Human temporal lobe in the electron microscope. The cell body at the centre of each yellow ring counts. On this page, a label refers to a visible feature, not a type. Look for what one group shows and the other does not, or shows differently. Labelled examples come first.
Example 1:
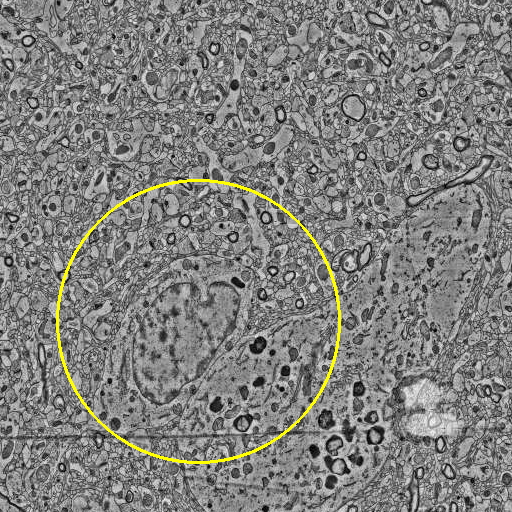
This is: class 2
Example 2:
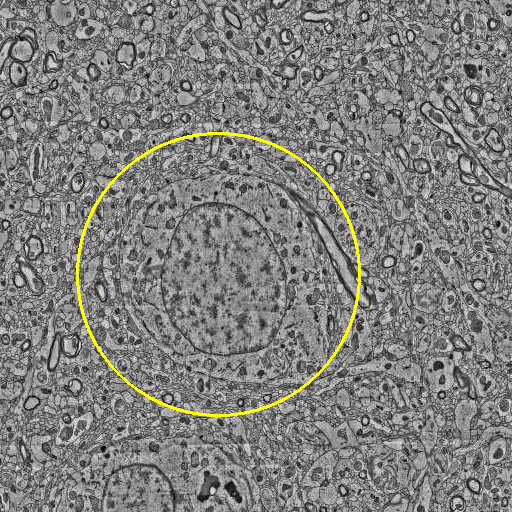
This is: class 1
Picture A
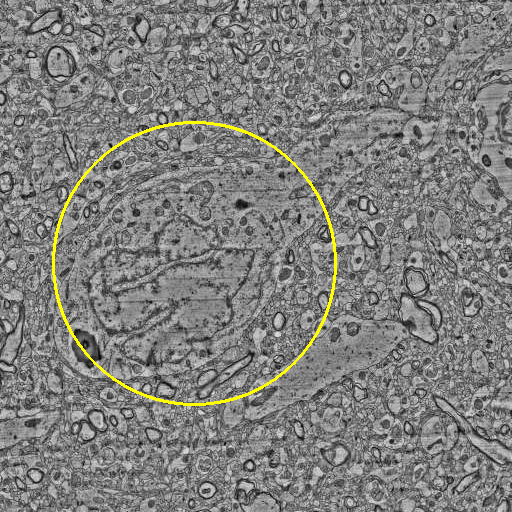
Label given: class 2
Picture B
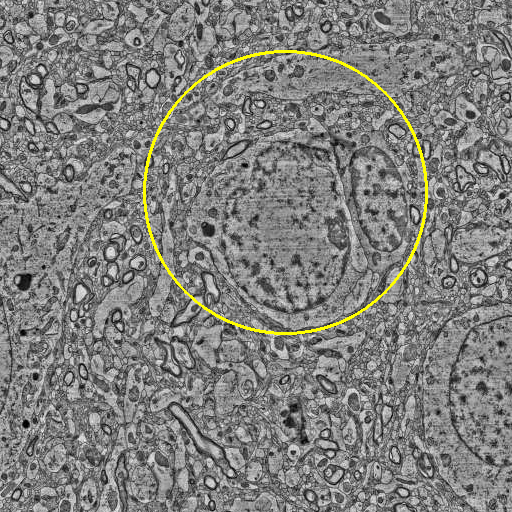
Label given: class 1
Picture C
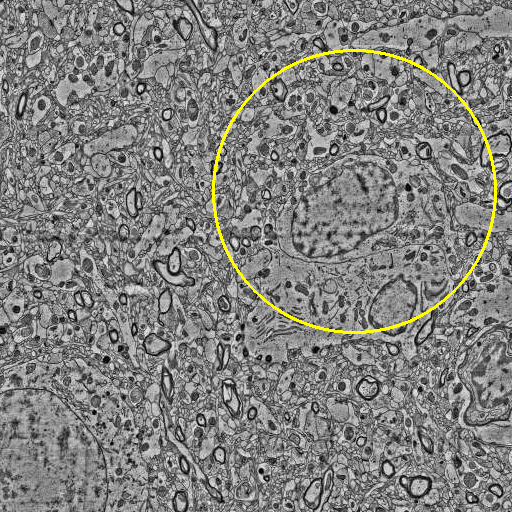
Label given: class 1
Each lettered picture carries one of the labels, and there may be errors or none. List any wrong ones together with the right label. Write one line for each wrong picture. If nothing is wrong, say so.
All correct.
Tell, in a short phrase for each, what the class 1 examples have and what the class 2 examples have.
Seen in class 1: smooth nuclear envelopes without deep folds; seen in class 2: deeply folded or indented nuclear envelopes.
